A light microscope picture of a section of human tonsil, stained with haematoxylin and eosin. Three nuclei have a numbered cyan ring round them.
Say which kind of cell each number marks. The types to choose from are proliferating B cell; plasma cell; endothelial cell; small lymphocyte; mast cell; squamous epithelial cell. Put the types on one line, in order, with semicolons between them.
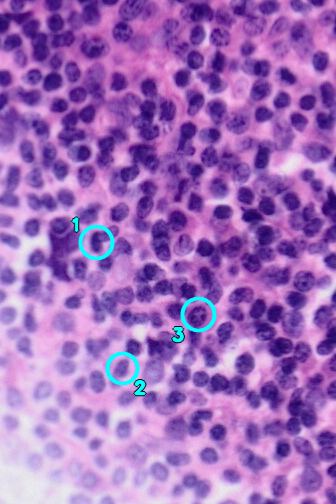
small lymphocyte; small lymphocyte; plasma cell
